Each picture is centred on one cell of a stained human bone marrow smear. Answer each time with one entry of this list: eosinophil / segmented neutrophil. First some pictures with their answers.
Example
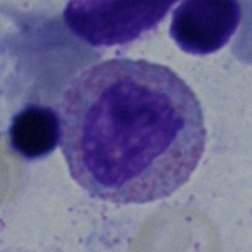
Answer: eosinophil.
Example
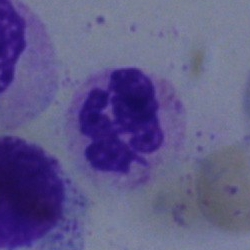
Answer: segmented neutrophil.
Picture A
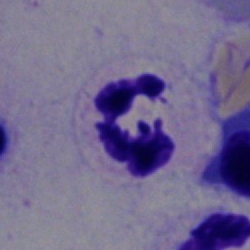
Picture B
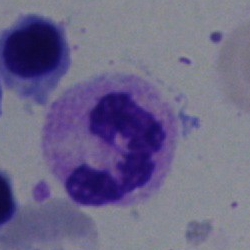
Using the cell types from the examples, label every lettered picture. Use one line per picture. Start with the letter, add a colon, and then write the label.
A: segmented neutrophil.
B: segmented neutrophil.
